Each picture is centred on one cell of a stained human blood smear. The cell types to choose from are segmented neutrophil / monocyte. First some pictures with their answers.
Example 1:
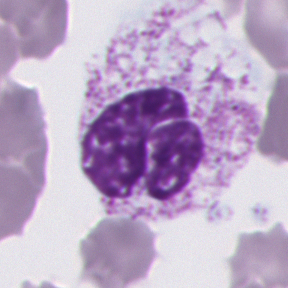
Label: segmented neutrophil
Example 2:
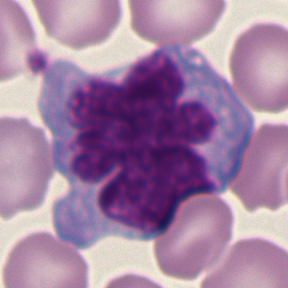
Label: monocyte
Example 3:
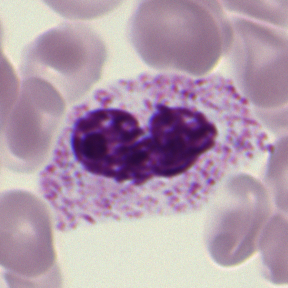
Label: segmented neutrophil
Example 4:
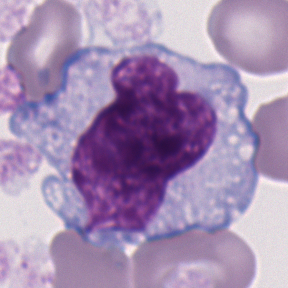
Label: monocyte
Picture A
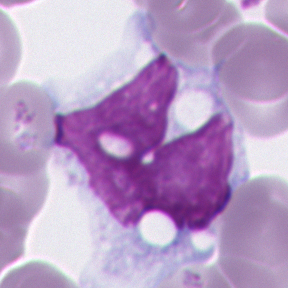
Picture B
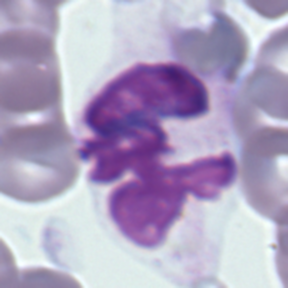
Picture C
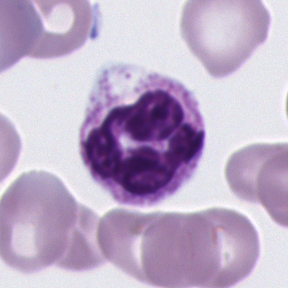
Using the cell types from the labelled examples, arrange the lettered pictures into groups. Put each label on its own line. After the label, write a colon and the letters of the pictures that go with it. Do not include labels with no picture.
segmented neutrophil: B, C
monocyte: A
